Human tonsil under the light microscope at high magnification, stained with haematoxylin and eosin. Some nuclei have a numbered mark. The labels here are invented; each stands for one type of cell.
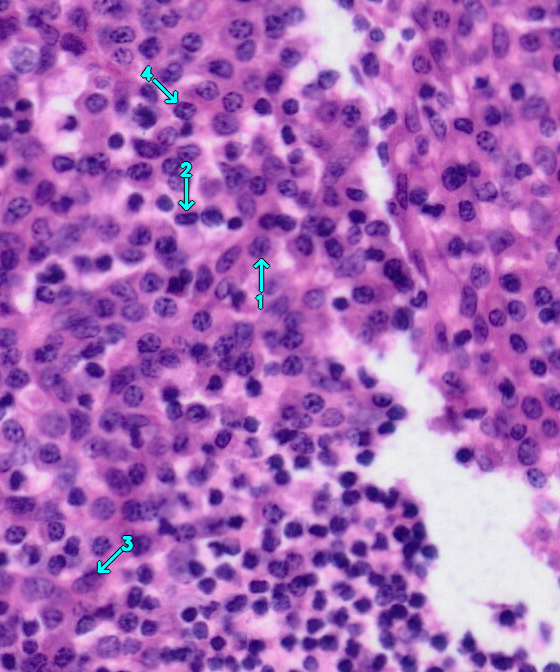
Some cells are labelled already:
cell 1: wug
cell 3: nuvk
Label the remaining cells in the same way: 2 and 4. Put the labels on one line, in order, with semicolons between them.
wug; wug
